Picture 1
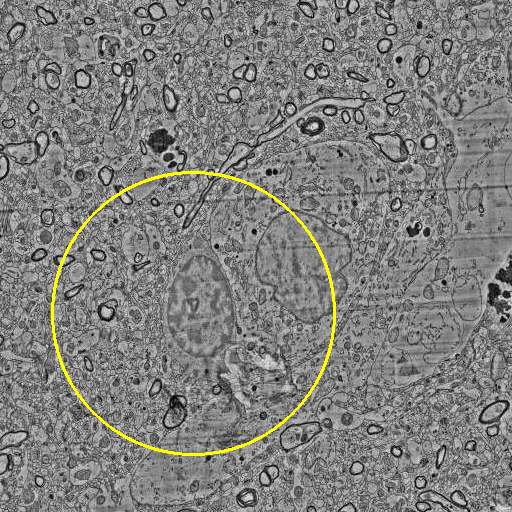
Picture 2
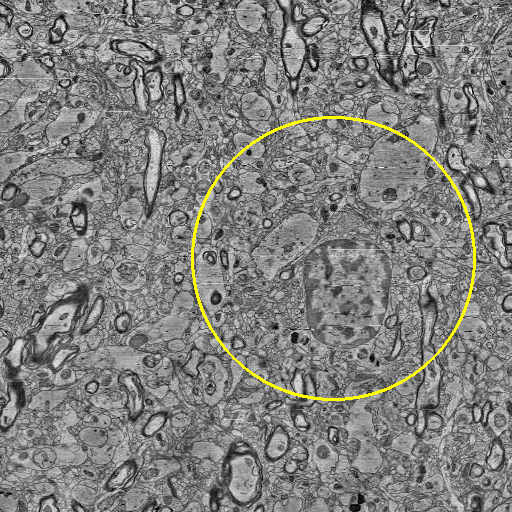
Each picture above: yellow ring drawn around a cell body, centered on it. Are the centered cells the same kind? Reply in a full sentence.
No, the two cells are two kinds of cell.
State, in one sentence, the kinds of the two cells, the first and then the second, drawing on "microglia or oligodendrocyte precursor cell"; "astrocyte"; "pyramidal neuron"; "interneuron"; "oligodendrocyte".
The ring in the second picture is centred on a microglial cell or oligodendrocyte precursor cell, the ring in the first on an oligodendrocyte.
